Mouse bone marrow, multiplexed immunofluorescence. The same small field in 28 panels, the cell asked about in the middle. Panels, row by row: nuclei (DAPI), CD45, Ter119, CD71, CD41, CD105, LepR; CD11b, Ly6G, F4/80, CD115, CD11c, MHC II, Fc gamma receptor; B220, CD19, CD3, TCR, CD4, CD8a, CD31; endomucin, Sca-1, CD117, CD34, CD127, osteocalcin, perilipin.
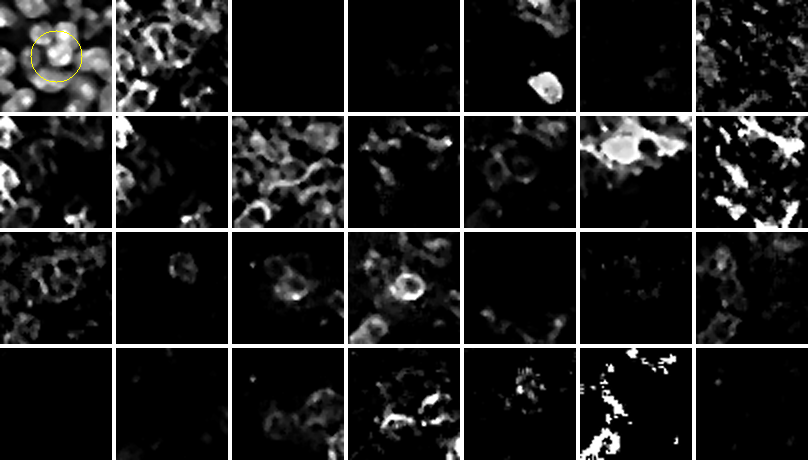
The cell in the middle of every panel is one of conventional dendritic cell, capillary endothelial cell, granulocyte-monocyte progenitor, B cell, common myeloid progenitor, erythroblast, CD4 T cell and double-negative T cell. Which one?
double-negative T cell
